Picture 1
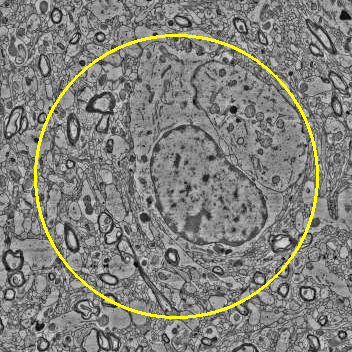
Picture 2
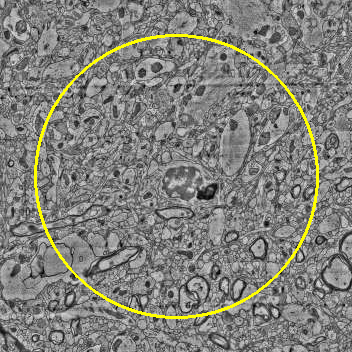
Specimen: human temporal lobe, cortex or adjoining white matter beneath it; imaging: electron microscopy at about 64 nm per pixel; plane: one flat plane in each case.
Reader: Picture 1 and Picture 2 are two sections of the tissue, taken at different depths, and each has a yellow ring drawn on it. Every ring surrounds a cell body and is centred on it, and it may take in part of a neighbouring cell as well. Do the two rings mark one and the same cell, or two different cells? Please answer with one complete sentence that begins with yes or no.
No, the rings mark separate cells, one per ring.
